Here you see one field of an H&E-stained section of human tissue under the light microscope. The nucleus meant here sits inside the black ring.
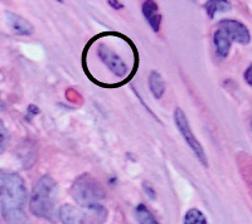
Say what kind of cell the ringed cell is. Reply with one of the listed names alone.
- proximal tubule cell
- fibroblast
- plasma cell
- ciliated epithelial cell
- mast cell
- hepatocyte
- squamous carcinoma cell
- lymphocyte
mast cell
